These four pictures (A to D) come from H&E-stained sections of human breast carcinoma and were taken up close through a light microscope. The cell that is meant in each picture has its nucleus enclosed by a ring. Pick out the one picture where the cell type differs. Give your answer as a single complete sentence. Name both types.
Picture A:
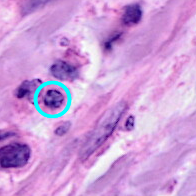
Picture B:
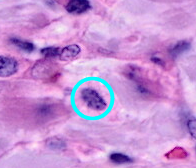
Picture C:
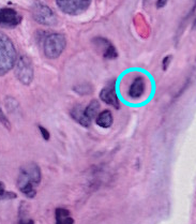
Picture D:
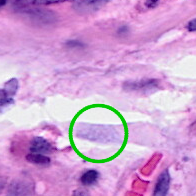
All pictures except D show mast cells; picture D shows a fibroblast.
